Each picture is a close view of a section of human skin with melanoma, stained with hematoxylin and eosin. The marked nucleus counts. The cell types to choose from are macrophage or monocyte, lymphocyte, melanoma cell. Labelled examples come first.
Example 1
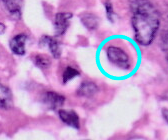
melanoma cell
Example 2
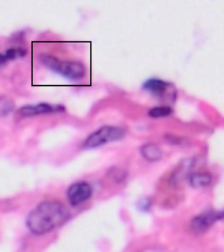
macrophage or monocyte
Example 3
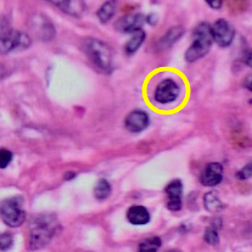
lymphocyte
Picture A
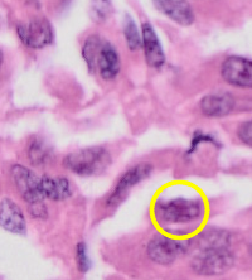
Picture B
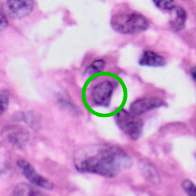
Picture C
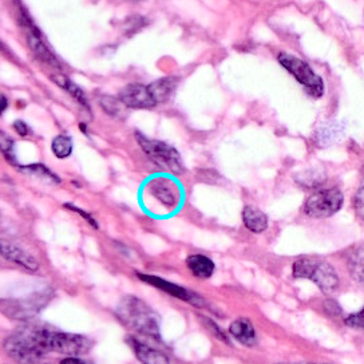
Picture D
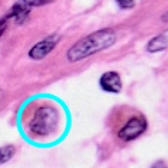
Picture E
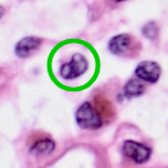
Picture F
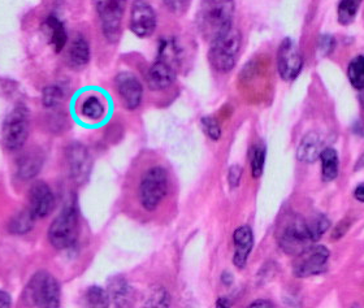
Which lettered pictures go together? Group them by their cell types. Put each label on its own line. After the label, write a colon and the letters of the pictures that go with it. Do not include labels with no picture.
macrophage or monocyte: D
lymphocyte: E, F
melanoma cell: A, B, C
